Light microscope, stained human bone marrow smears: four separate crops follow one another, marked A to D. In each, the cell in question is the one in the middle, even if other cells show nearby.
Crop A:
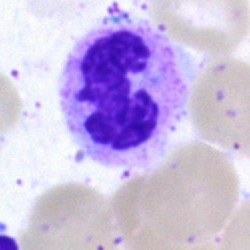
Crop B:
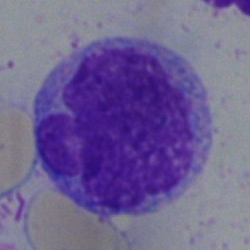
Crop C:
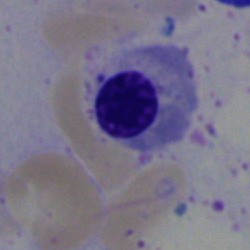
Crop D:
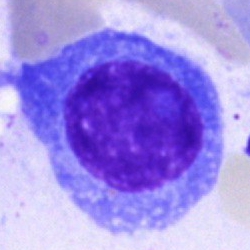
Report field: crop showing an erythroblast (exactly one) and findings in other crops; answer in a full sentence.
In crop C, an erythroblast is the cell shown, while crop A is a segmented neutrophil, crop B is a blast and crop D is a plasma cell.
